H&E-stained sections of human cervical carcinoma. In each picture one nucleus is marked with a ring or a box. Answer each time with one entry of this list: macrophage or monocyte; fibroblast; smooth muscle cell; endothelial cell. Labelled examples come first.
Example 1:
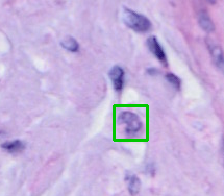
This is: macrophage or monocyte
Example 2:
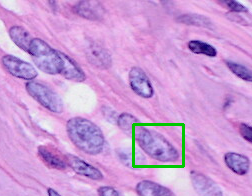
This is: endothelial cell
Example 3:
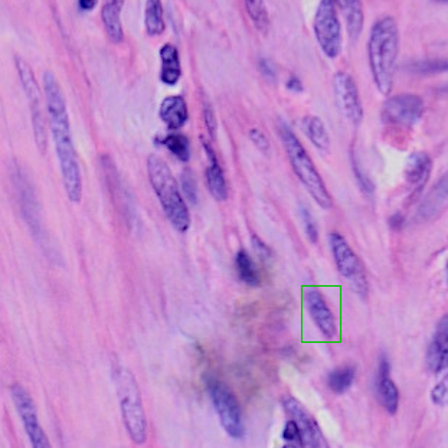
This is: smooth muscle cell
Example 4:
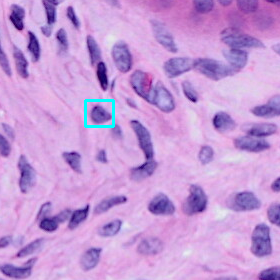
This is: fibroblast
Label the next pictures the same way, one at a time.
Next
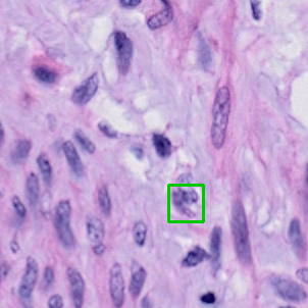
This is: macrophage or monocyte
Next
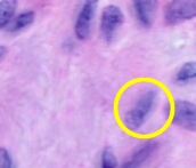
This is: fibroblast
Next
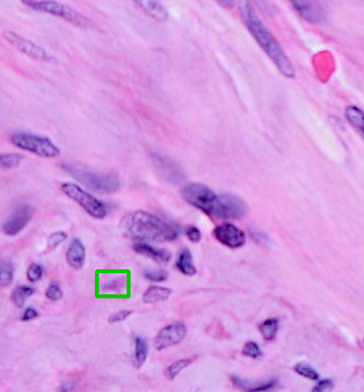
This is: smooth muscle cell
